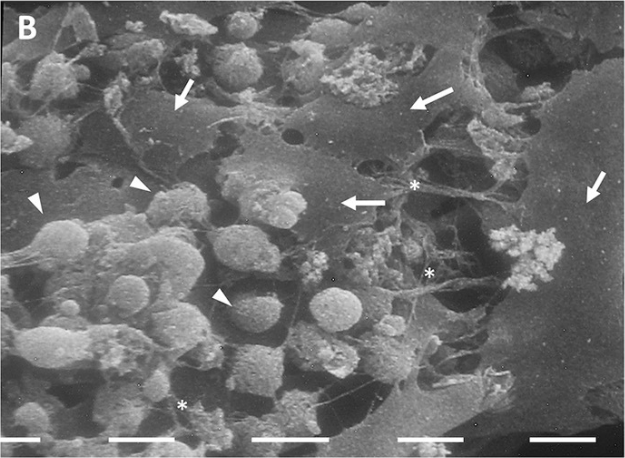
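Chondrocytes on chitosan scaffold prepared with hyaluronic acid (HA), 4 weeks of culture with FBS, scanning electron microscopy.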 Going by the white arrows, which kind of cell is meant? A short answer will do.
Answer: Fibroblast-like cells.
